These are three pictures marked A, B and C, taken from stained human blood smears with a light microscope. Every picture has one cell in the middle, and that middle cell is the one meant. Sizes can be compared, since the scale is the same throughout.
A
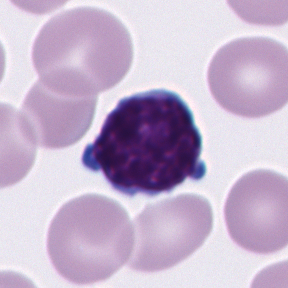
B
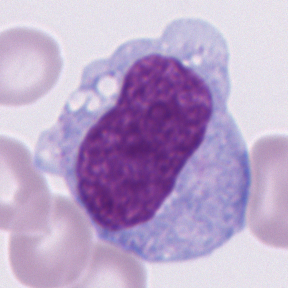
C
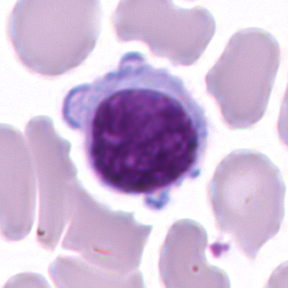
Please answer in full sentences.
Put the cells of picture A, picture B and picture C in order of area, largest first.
The order is B, C, A, beginning with the largest.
